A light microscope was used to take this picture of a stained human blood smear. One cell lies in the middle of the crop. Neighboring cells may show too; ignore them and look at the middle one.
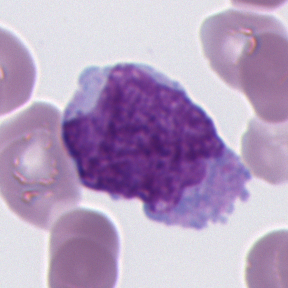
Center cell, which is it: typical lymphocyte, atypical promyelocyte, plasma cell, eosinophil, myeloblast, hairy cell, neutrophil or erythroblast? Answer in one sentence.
The identification for the central cell is an atypical promyelocyte.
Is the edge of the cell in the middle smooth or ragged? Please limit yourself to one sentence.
Projections or ragged segments give this cell an irregular rather than smooth border.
